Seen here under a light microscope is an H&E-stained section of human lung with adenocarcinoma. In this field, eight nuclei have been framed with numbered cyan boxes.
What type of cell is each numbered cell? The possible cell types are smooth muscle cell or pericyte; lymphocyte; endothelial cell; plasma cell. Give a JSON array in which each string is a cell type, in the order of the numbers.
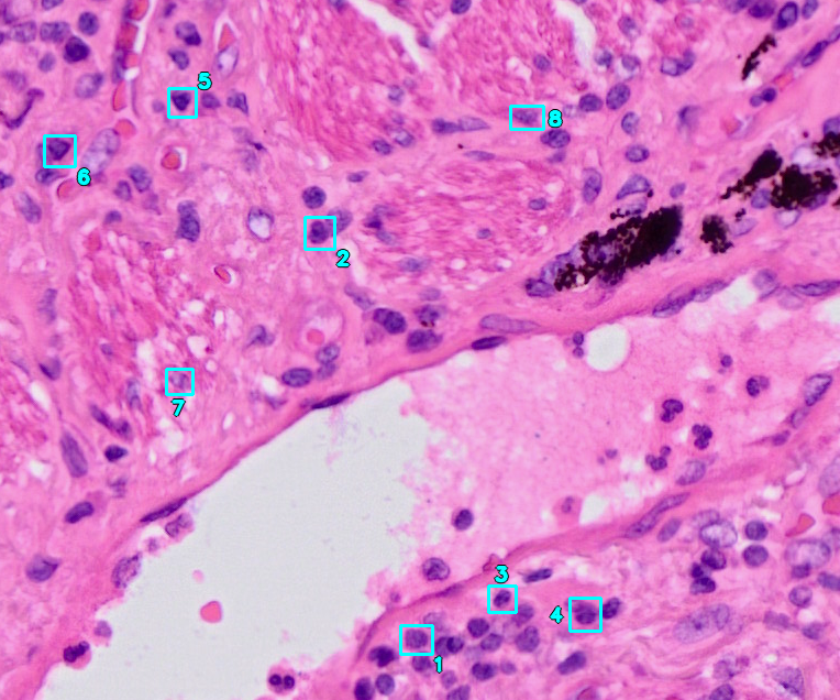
["lymphocyte", "lymphocyte", "lymphocyte", "lymphocyte", "lymphocyte", "plasma cell", "smooth muscle cell or pericyte", "smooth muscle cell or pericyte"]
